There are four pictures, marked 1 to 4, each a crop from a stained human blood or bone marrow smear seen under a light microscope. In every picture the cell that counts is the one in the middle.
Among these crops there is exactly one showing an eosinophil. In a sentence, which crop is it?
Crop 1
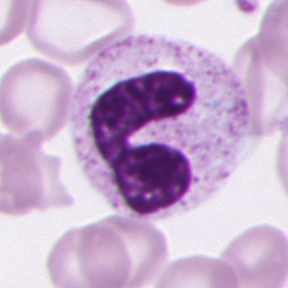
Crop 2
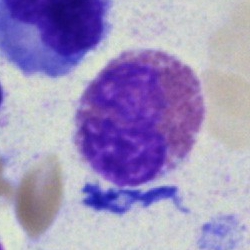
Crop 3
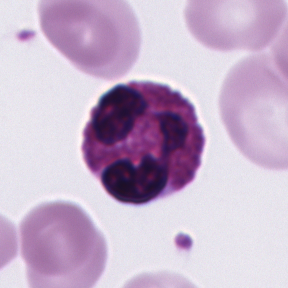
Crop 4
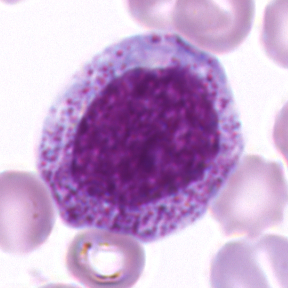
Only in crop 3 is an eosinophil shown.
